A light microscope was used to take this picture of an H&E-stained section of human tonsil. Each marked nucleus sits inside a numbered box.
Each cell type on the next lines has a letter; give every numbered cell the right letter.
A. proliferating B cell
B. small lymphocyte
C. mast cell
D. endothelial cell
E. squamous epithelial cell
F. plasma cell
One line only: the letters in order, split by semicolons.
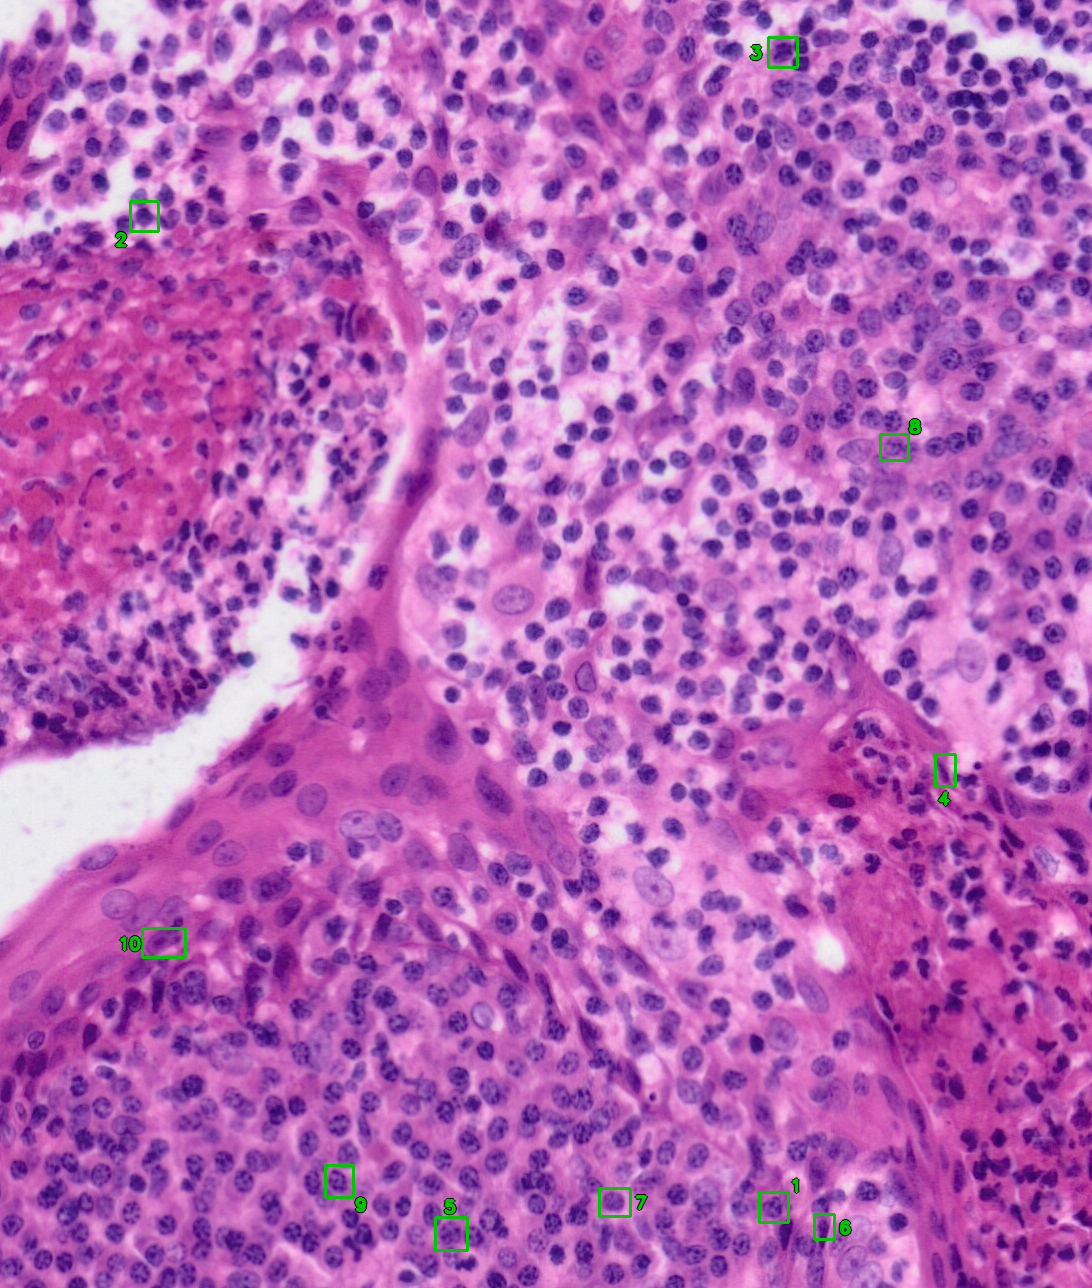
F; B; F; E; F; E; F; F; F; E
